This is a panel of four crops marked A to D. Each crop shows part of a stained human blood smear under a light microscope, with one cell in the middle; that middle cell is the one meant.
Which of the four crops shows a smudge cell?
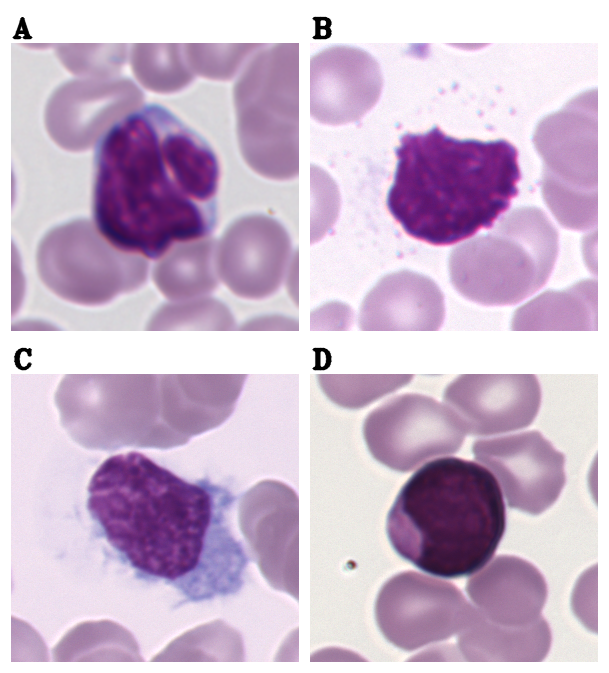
B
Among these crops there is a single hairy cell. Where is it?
C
